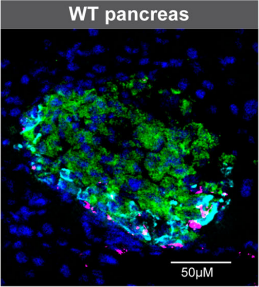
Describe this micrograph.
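Here a pancreatic islet lies amid surrounding pancreatic tissue, whose cells show only blue nuclei. Cyan-stained cells gather mainly along the lower and left margins of the islet, and a few magenta cells sit at that same edge. The green cells are far more numerous than the cyan and magenta ones, and the surrounding exocrine tissue stays unstained apart from its nuclei.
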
